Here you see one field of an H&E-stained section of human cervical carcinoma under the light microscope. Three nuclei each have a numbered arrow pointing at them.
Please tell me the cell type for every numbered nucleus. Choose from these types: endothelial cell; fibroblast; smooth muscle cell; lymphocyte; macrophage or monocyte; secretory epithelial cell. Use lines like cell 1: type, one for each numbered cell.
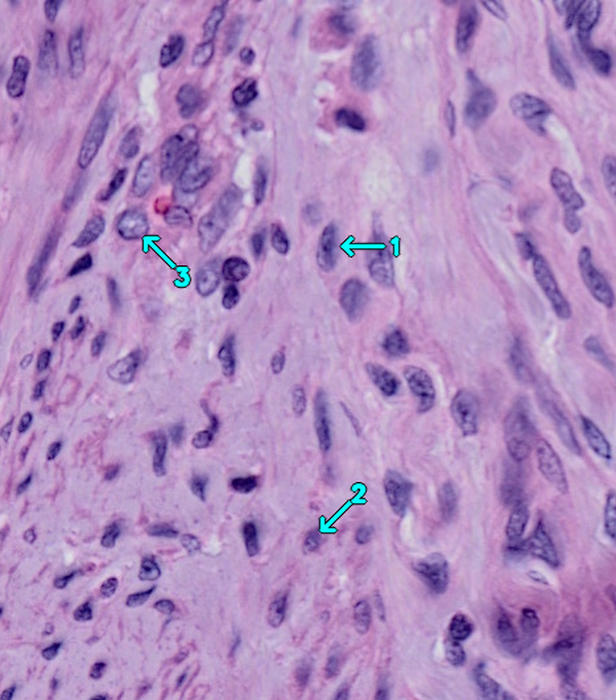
cell 1: fibroblast
cell 2: smooth muscle cell
cell 3: endothelial cell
